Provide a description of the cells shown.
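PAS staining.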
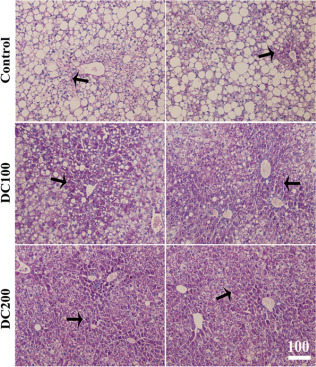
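In the upper row large, round, unstained vacuoles crowd the tissue and the magenta staining is faint and confined to narrow strands between them. In the lower rows the hepatocytes form denser sheets with more evenly and strongly magenta-stained cytoplasm and few vacuoles. Small vessels appear as clear spaces among the stained cells.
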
